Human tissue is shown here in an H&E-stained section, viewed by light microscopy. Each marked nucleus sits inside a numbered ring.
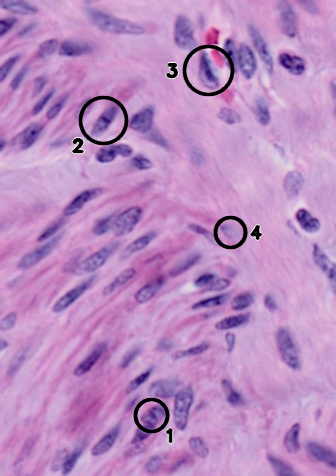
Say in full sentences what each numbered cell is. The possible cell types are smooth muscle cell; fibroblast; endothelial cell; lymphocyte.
Cells 1, 2 and 4 are smooth muscle cells. Cell 3 is an endothelial cell.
